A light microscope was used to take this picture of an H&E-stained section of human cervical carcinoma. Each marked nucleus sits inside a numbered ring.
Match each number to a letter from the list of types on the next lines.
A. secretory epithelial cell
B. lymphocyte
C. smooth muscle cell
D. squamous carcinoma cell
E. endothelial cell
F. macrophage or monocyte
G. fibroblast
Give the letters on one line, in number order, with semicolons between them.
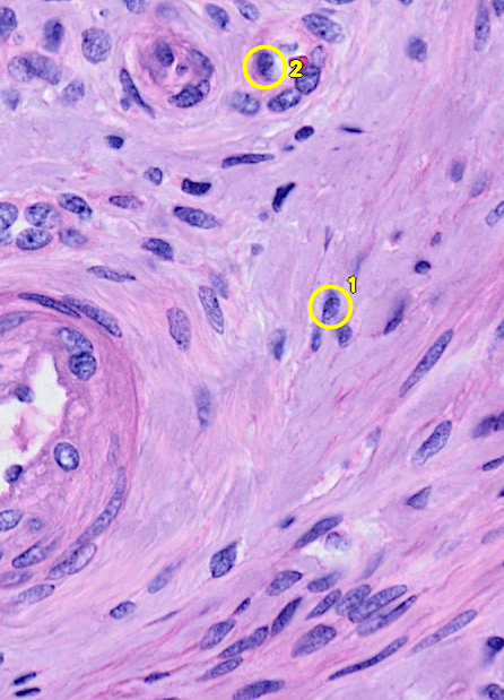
G; E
